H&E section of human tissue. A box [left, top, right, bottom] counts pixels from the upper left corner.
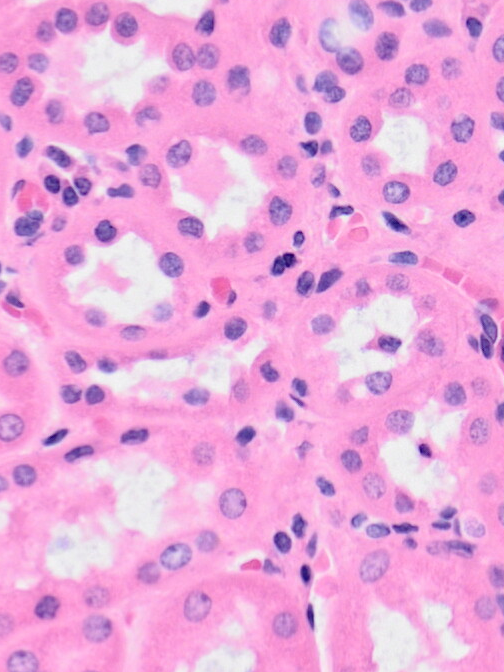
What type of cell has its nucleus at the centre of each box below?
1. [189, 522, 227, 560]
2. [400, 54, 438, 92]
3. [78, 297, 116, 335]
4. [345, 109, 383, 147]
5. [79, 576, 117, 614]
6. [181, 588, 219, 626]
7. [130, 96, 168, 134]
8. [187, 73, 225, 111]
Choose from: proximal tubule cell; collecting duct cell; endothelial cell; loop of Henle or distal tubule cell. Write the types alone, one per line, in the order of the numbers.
proximal tubule cell
loop of Henle or distal tubule cell
loop of Henle or distal tubule cell
loop of Henle or distal tubule cell
proximal tubule cell
proximal tubule cell
loop of Henle or distal tubule cell
loop of Henle or distal tubule cell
